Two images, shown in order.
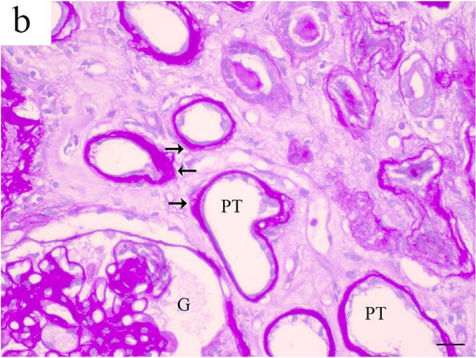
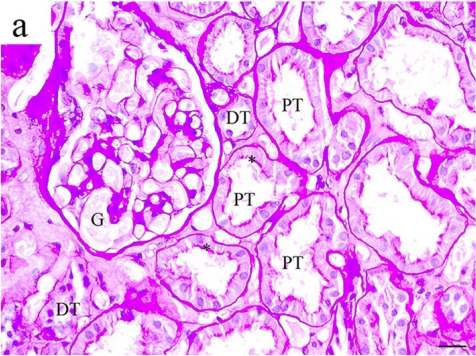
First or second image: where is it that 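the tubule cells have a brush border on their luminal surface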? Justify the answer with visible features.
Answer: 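The second image. First image: tubules are lined by thin flat cells with a smooth luminal edge. Second image: tall tubule cells show a fuzzy pink layer at their luminal edge.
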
